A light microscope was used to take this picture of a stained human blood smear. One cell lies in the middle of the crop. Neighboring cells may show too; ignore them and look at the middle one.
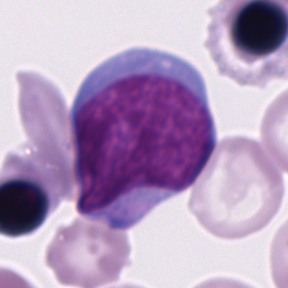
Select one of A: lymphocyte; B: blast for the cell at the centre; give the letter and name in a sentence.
Option B holds, for the cell in the middle is a blast.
